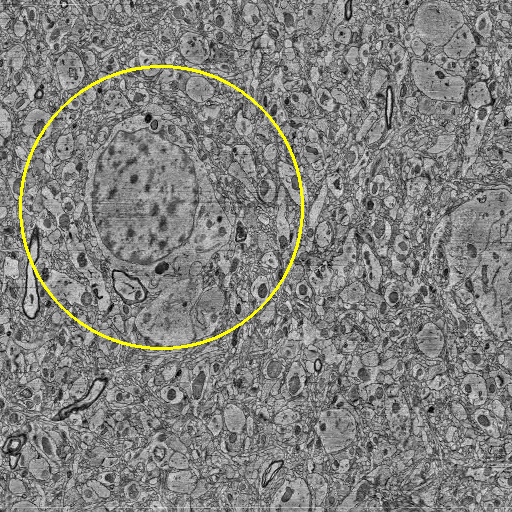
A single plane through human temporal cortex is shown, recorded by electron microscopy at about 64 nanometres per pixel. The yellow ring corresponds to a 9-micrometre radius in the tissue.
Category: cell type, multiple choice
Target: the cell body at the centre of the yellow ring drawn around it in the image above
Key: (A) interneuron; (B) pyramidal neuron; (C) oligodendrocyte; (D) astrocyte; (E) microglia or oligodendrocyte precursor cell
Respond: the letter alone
A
